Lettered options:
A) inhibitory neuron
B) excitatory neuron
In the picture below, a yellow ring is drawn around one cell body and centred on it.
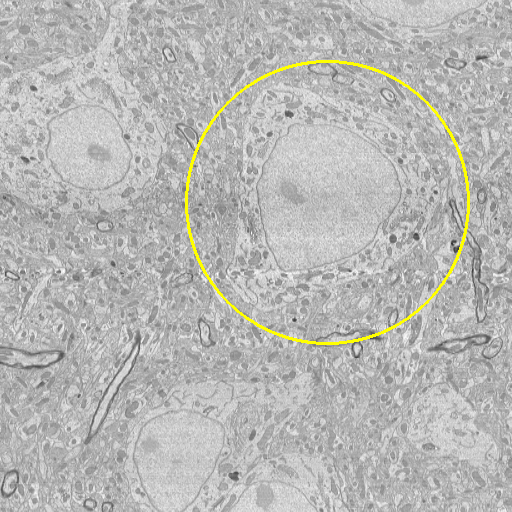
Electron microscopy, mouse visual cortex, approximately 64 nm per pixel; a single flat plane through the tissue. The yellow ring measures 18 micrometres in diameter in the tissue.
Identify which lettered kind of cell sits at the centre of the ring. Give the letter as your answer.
A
